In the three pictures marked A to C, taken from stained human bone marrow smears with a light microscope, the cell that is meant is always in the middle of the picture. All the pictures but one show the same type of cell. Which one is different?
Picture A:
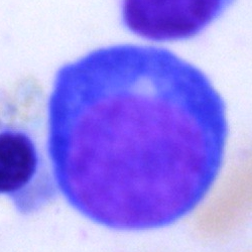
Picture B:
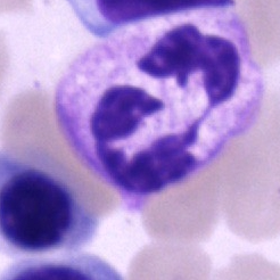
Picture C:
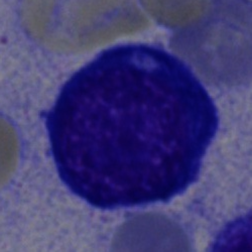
B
